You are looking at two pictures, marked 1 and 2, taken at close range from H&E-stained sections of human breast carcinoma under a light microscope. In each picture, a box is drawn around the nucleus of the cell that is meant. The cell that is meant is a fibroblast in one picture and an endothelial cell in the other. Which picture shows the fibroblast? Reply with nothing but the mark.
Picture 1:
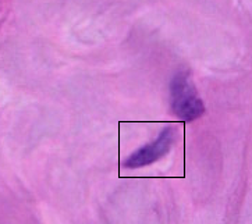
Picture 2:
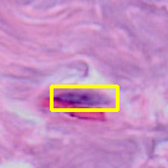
1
